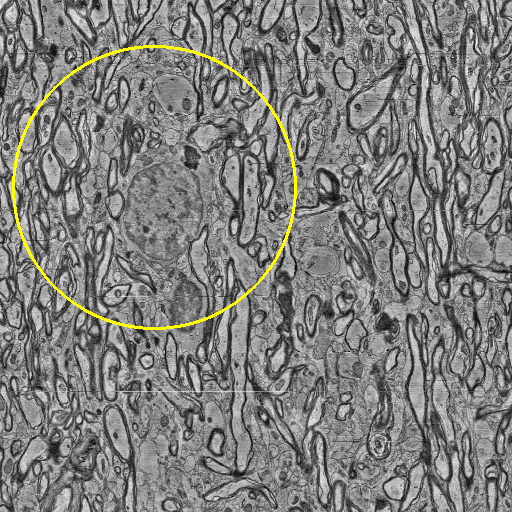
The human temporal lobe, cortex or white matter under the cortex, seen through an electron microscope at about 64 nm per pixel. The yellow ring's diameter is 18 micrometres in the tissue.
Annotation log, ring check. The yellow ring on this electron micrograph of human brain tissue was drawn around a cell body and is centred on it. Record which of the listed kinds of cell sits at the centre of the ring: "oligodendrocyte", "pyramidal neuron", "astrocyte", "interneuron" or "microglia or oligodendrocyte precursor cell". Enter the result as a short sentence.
The cell at the centre of the ring is an oligodendrocyte.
